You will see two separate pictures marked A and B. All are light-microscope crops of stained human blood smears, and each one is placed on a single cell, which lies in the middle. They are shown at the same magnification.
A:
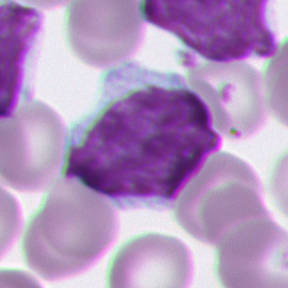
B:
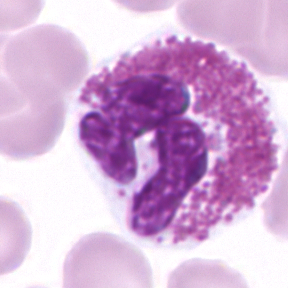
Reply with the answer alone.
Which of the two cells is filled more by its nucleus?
A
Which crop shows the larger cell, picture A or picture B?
B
